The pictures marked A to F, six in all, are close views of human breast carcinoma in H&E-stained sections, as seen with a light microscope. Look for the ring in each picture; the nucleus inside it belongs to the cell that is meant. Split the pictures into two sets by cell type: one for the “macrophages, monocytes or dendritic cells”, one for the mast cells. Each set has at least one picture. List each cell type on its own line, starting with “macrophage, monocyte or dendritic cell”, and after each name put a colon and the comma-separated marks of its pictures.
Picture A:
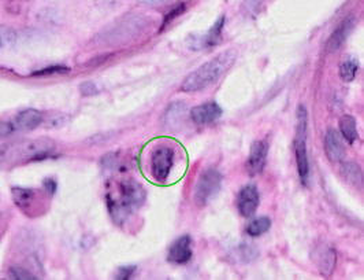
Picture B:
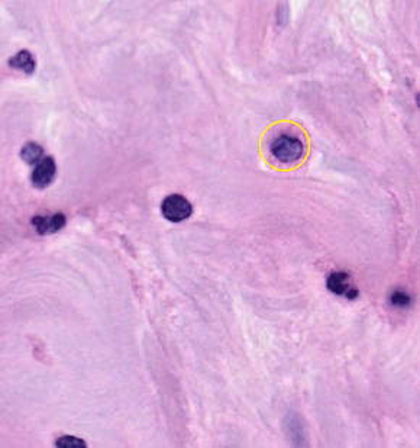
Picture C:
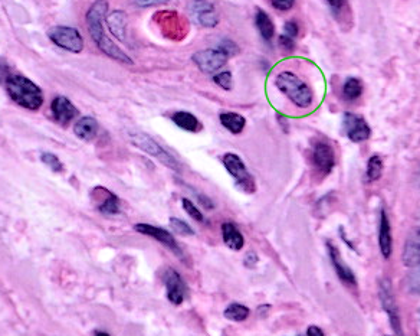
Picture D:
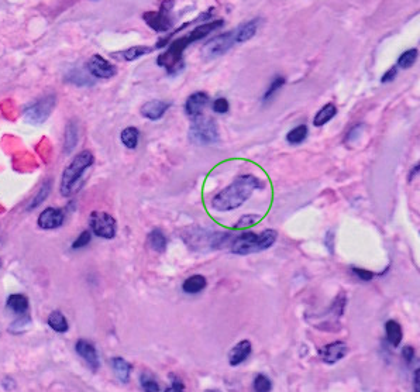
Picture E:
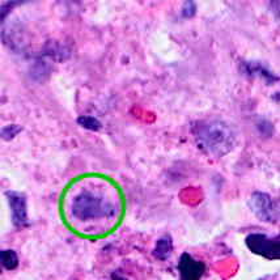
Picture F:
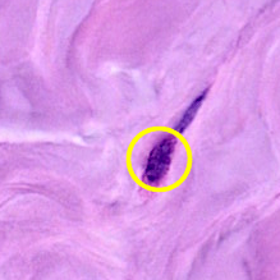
macrophage, monocyte or dendritic cell: D, E
mast cell: A, B, C, F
